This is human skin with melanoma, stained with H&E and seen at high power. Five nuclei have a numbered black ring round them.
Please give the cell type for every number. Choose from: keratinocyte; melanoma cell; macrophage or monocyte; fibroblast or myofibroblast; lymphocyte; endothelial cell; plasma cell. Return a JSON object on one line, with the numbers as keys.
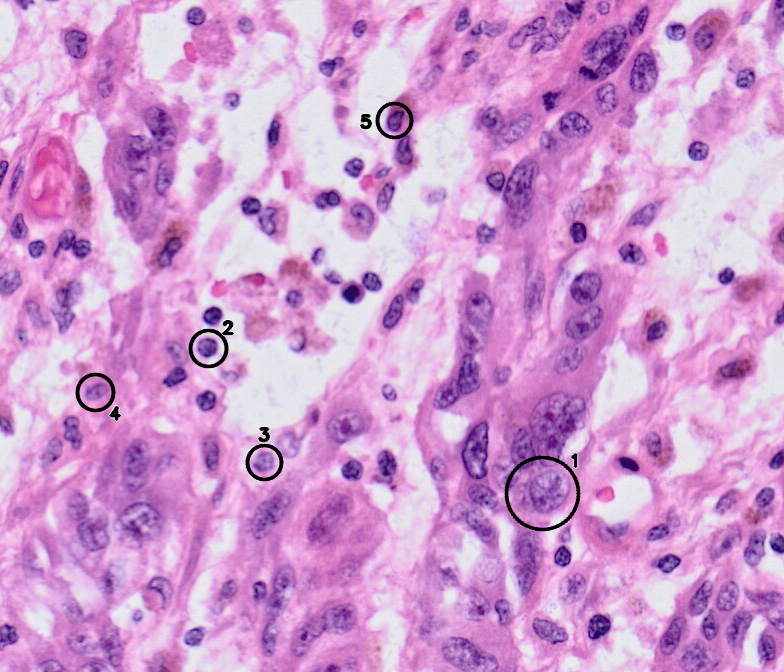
{"1": "melanoma cell", "2": "lymphocyte", "3": "macrophage or monocyte", "4": "macrophage or monocyte", "5": "macrophage or monocyte"}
